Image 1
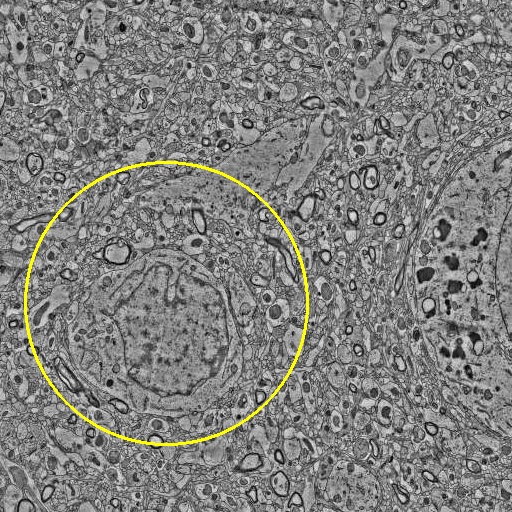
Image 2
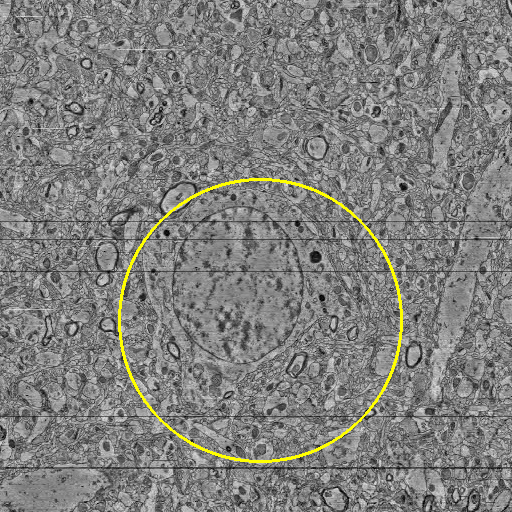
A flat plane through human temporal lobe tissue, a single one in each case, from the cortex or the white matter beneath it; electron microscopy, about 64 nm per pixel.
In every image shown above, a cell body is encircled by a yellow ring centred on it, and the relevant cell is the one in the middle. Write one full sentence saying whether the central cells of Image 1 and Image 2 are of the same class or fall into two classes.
The cell at the ring's centre in Image 1 and its counterpart in Image 2 fall into two classes.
